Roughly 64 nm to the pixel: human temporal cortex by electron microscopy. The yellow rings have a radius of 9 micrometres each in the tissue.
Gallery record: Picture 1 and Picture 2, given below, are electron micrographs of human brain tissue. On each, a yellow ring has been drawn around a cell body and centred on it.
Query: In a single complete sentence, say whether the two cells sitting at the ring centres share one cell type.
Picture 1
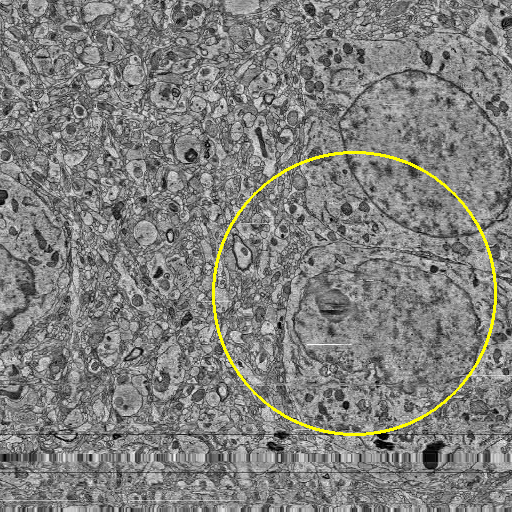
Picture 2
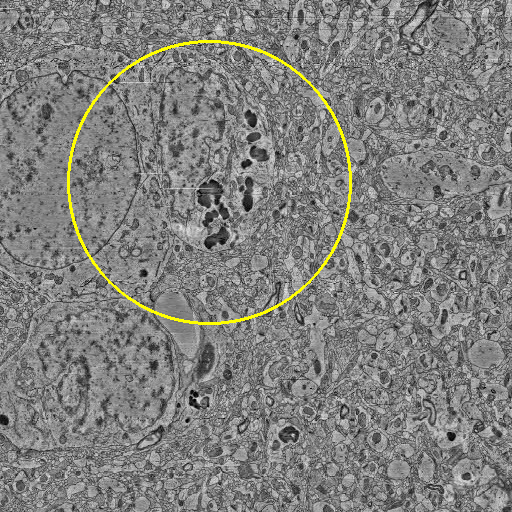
Yes, in both pictures the cell at the ring's centre is of one and the same type.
